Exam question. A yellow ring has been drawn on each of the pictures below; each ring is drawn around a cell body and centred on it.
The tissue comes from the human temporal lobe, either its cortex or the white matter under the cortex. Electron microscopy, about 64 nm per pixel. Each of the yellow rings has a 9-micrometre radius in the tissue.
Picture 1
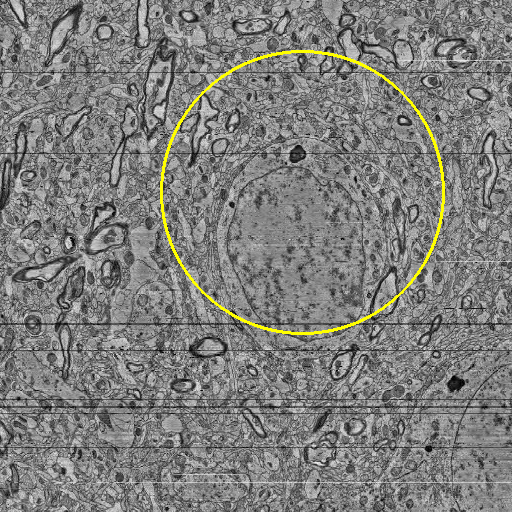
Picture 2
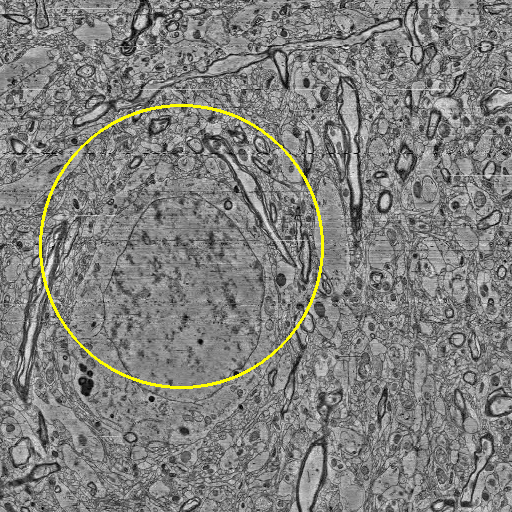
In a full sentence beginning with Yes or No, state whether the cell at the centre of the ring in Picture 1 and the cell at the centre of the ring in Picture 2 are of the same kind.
Yes, the two cells are of the same kind.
